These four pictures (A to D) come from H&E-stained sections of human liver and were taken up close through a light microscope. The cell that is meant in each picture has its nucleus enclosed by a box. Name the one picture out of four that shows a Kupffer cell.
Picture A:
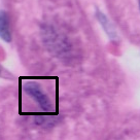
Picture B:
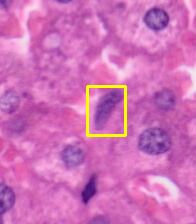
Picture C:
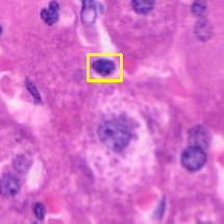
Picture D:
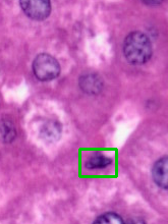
B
